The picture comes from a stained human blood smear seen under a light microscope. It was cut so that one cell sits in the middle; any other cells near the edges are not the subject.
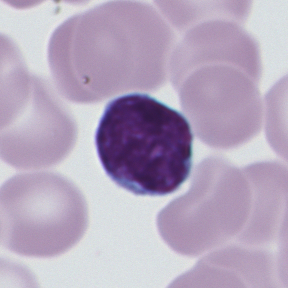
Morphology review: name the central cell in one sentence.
Within this crop, a typical lymphocyte occupies the central position.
